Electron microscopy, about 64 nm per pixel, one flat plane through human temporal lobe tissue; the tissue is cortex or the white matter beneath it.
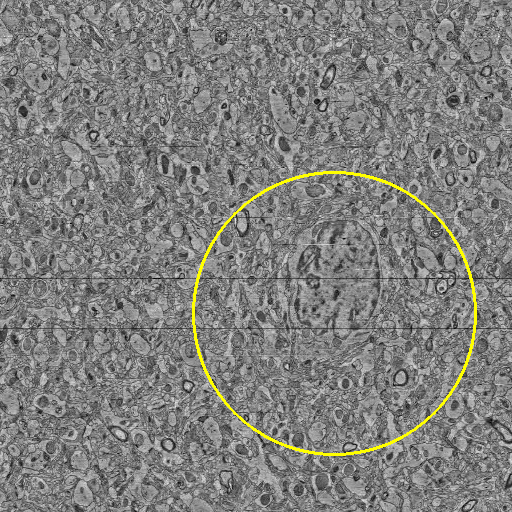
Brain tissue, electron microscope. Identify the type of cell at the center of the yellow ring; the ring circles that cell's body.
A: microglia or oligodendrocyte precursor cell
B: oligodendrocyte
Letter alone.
A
